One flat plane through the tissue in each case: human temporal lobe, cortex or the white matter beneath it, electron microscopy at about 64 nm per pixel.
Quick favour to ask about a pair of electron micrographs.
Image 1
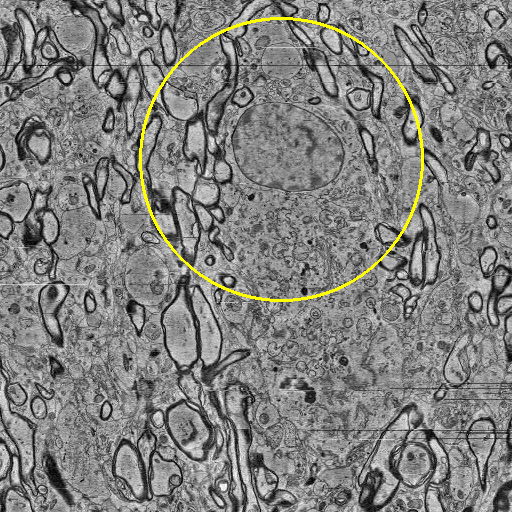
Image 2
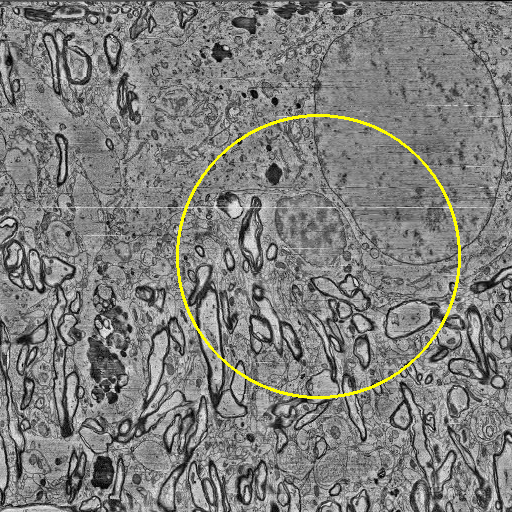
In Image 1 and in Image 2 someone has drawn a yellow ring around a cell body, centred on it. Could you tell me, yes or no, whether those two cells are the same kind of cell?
no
